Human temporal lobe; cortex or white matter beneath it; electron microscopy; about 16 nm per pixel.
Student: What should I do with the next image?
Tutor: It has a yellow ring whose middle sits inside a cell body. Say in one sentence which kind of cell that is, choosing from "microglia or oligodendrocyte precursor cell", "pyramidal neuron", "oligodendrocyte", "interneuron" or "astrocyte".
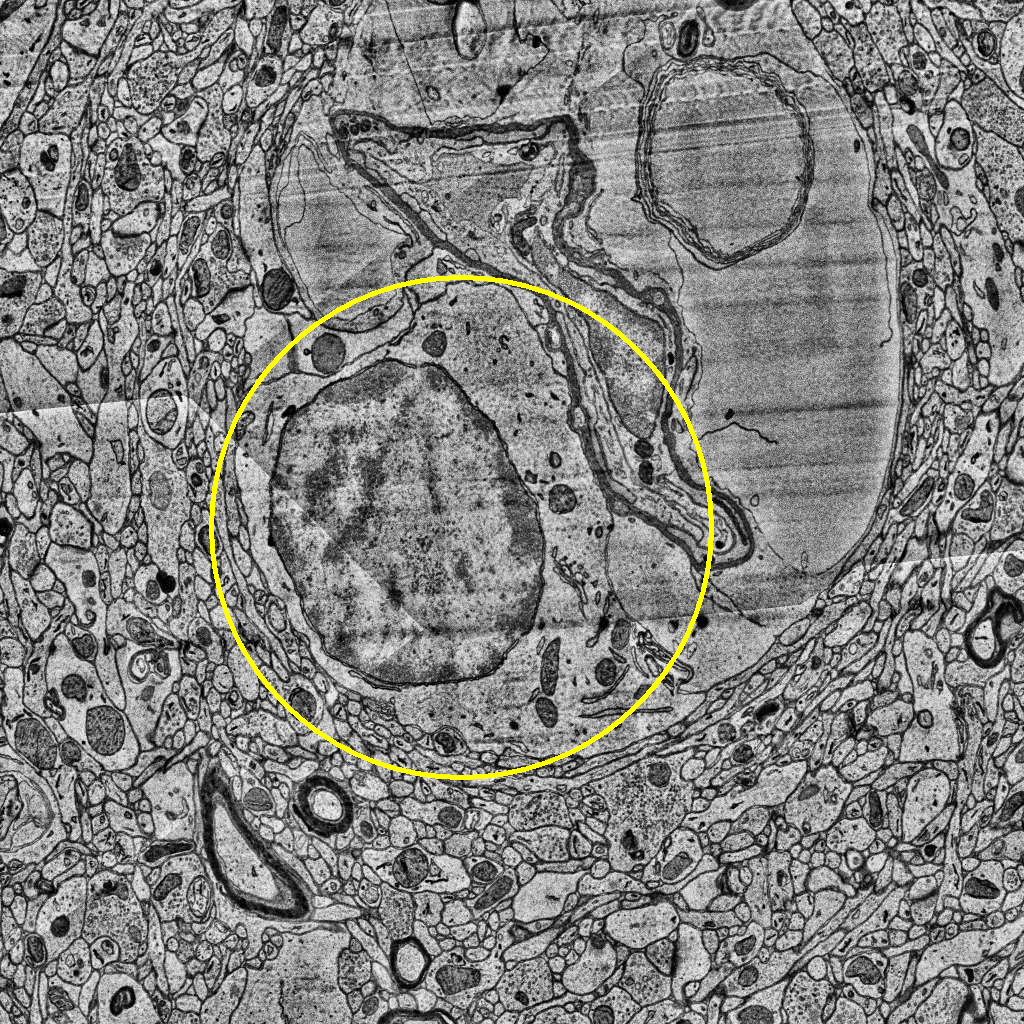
The ring's centre is occupied by a microglial cell or oligodendrocyte precursor cell.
